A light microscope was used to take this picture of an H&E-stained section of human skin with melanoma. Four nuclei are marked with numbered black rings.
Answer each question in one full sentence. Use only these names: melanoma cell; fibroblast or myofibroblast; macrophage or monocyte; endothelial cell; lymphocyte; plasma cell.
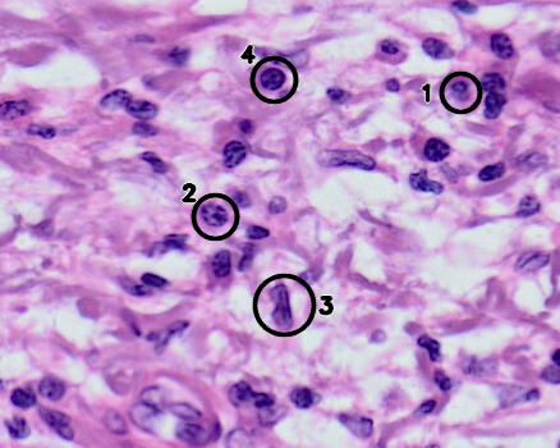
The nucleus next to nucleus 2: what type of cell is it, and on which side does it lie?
It is a plasma cell, whose nucleus lies above and to the right of nucleus 2.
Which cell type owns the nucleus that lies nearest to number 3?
It is a fibroblast or myofibroblast whose nucleus is nearest to number 3.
